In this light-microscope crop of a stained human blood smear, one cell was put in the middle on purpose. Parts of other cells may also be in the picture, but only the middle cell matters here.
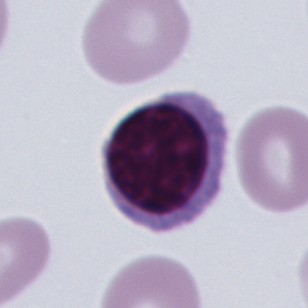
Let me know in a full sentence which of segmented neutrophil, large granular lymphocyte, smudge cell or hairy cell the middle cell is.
Framed in the middle of the crop is a large granular lymphocyte.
